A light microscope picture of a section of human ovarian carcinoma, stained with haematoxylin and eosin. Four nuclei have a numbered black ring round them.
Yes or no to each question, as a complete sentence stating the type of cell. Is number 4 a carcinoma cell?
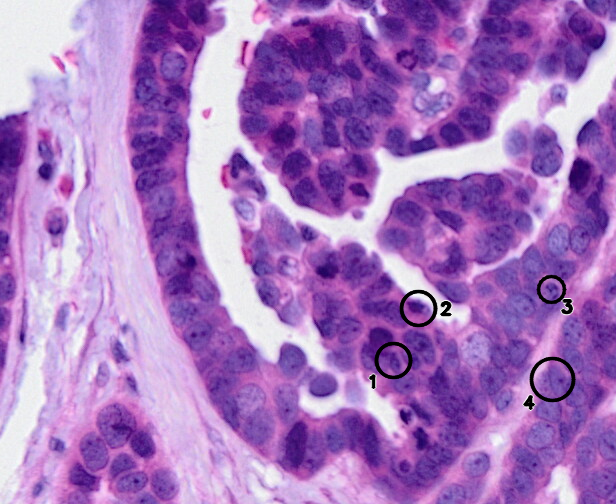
Yes, the cell corresponding to number 4 is a carcinoma cell.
